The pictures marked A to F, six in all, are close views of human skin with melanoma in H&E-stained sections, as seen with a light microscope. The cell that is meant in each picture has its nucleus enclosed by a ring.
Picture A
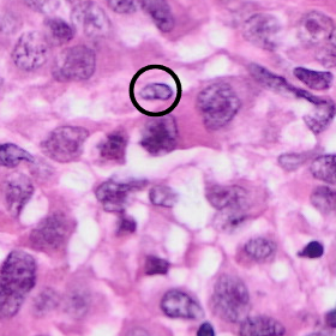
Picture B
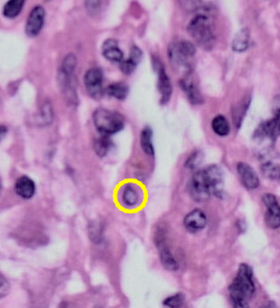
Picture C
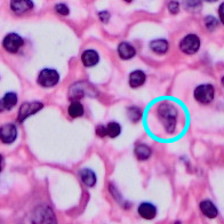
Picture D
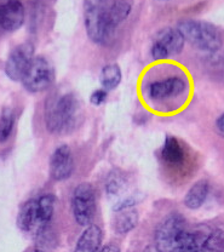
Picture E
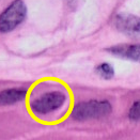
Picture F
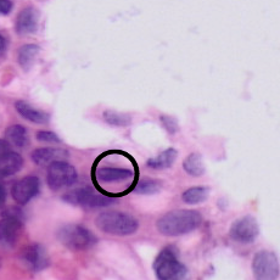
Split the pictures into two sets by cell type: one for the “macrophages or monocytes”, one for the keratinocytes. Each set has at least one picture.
A: macrophage or monocyte
B: macrophage or monocyte
C: macrophage or monocyte
D: macrophage or monocyte
E: keratinocyte
F: keratinocyte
